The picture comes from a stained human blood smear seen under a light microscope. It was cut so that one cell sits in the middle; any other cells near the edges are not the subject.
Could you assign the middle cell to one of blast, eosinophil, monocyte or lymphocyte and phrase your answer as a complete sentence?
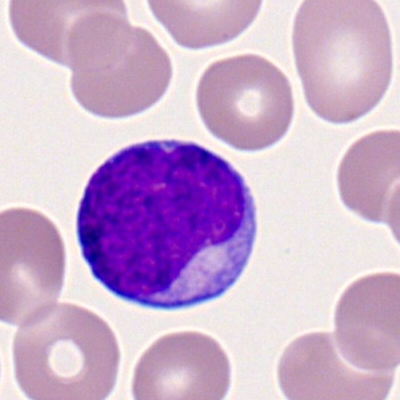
In this smear crop, the middle cell is a blast.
